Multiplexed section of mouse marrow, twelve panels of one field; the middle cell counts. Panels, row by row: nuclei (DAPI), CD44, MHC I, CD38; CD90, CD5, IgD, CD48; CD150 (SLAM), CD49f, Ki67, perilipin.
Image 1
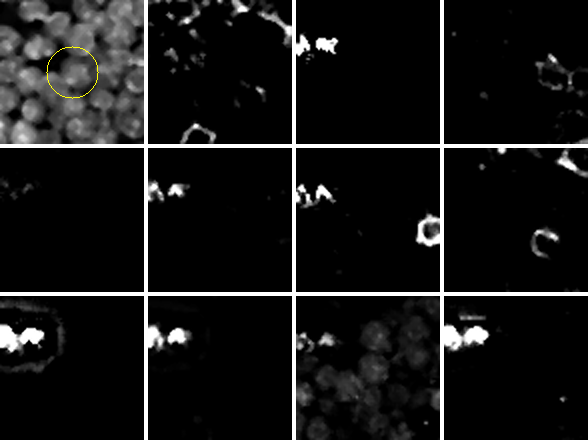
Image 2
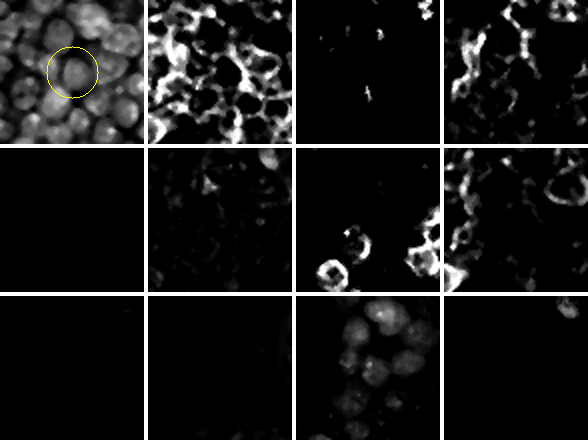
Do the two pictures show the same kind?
Yes, both are erythroblasts.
